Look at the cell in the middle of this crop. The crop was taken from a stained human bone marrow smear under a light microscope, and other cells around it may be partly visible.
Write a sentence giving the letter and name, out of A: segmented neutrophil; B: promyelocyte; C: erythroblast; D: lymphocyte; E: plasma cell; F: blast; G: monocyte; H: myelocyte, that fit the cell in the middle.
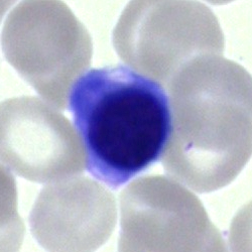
This one is option C, since the cell at the center is an erythroblast.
